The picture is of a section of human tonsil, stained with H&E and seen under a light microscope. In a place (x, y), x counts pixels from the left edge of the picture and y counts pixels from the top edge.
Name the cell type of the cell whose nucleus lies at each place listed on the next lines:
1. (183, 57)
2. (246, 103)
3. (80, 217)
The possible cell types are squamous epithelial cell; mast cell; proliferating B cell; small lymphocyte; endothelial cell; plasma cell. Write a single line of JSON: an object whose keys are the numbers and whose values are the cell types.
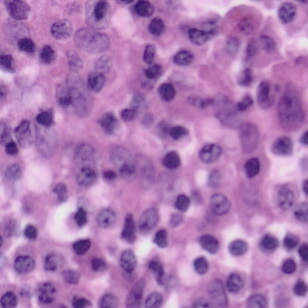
{"1": "plasma cell", "2": "squamous epithelial cell", "3": "plasma cell"}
